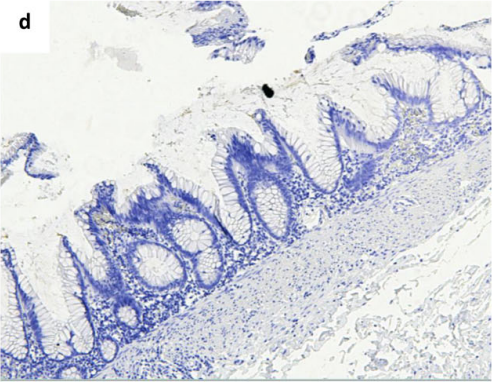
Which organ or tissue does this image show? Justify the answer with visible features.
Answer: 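Crypts sit in a cellular lamina propria above a band of smooth muscle.
Answer: colonic epithelium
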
